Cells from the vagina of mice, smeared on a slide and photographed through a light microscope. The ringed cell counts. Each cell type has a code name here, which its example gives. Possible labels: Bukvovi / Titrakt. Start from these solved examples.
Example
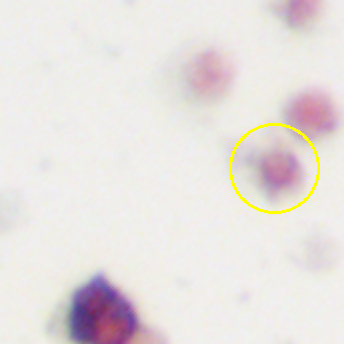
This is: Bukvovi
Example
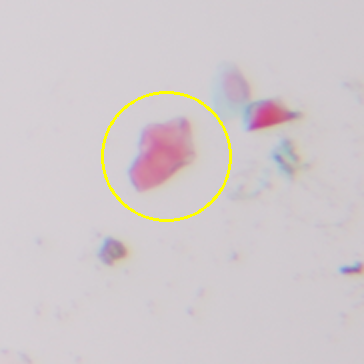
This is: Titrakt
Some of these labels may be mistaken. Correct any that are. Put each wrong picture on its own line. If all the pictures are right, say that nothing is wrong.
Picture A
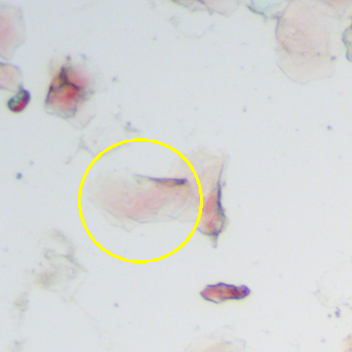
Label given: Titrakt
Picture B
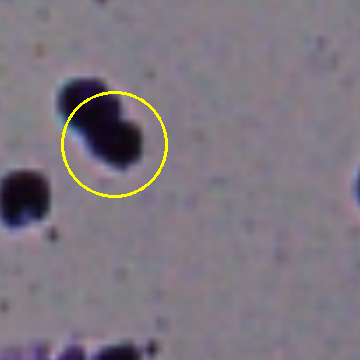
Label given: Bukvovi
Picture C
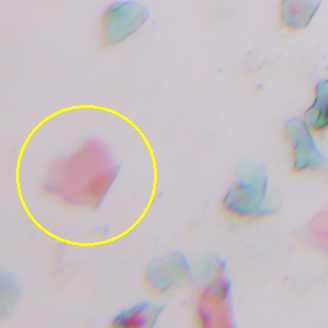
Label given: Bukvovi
C should be Titrakt, not Bukvovi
